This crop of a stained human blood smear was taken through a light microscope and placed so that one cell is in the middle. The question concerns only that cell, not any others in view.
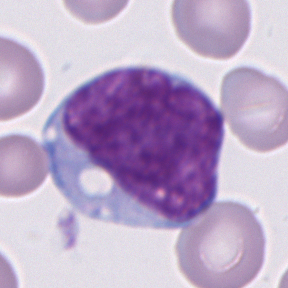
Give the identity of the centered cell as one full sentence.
The cell nearest the centre of this crop is a myeloblast.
